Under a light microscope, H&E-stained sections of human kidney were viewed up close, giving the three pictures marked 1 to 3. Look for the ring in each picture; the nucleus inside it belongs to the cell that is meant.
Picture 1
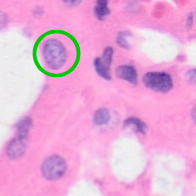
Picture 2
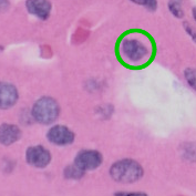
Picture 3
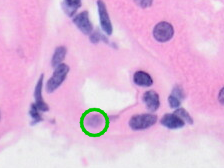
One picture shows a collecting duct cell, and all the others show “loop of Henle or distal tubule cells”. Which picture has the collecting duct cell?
3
